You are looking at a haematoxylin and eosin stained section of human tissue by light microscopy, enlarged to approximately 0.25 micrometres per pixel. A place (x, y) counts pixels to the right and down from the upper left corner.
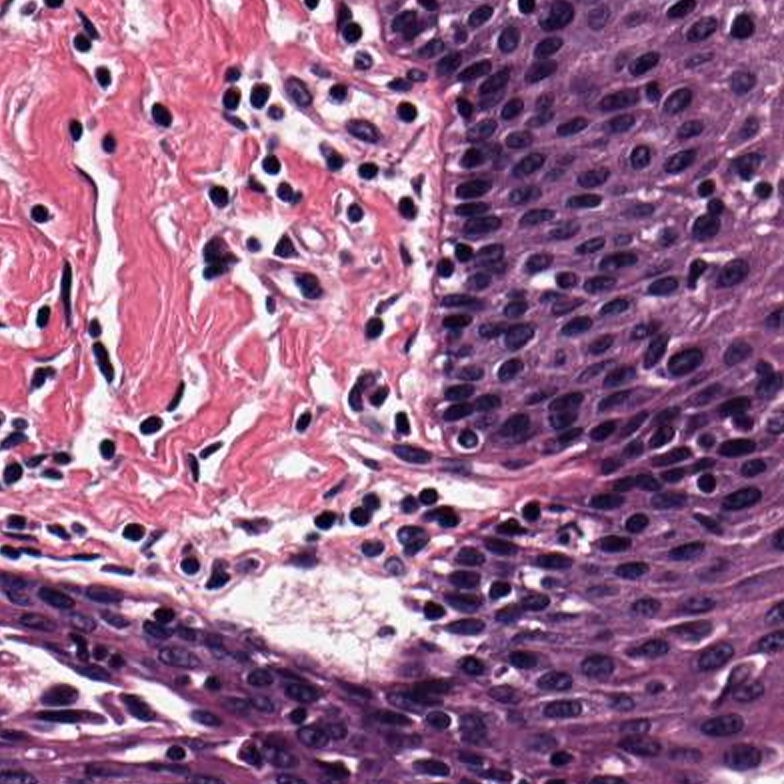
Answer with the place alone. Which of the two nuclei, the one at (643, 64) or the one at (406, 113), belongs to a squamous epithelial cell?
(643, 64)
